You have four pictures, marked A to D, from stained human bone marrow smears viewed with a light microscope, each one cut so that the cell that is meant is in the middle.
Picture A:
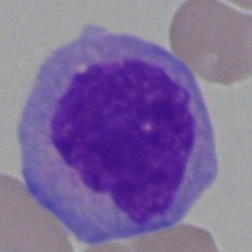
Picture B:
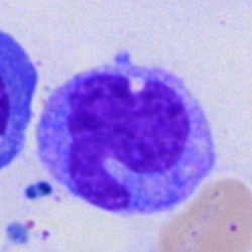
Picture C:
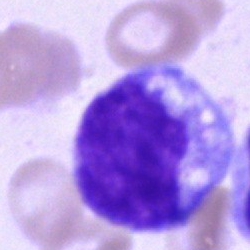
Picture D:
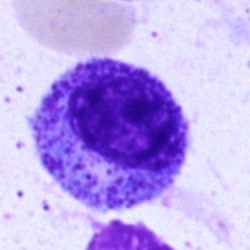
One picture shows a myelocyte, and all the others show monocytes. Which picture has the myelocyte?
D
